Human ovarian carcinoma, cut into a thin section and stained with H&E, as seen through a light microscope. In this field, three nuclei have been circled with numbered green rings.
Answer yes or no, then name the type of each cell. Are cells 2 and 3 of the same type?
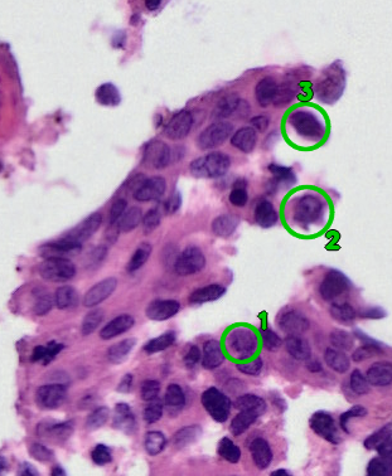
No, here cell 2 is a macrophage or monocyte, whereas cell 3 is a carcinoma cell.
